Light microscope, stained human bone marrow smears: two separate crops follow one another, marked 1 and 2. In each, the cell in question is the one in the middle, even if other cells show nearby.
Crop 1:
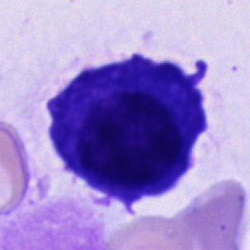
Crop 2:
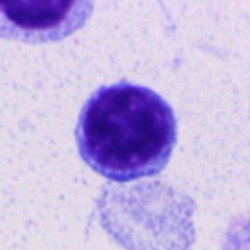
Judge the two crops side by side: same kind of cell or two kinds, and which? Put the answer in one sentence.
No, crop 1 is the one with a plasma cell; crop 2 has a lymphocyte.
